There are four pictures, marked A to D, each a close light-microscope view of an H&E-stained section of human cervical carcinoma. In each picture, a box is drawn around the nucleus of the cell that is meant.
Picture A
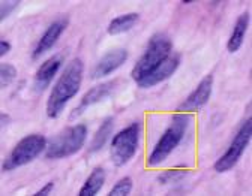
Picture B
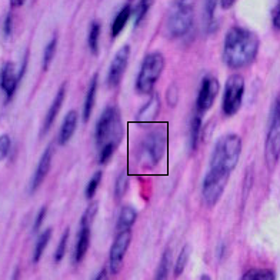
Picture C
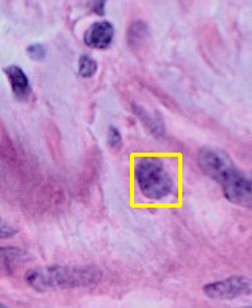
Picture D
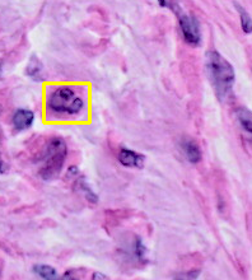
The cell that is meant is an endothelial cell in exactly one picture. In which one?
B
